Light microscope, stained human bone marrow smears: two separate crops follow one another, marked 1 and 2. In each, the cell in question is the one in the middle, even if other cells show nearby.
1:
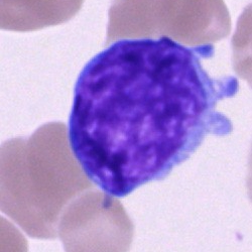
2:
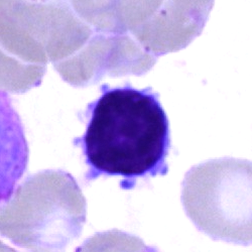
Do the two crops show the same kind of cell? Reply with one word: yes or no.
no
